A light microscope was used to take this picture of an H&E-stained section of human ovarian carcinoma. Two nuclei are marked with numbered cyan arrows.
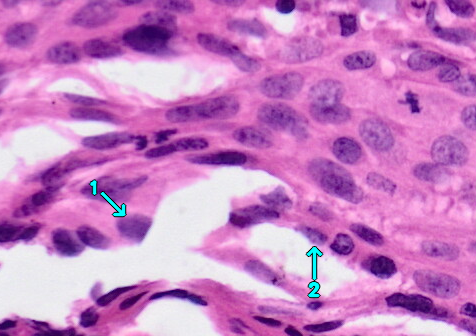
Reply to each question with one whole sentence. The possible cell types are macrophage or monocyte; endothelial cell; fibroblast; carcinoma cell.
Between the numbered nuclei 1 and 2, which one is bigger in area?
Number 1 is larger; its area is about 2 times that of number 2.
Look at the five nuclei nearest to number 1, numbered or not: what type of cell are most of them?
Of the five nuclei nearest to number 1, most belong to carcinoma cells.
